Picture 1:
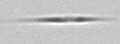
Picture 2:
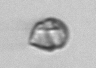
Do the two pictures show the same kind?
No: Cylindrotheca, then Scrippsiella.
